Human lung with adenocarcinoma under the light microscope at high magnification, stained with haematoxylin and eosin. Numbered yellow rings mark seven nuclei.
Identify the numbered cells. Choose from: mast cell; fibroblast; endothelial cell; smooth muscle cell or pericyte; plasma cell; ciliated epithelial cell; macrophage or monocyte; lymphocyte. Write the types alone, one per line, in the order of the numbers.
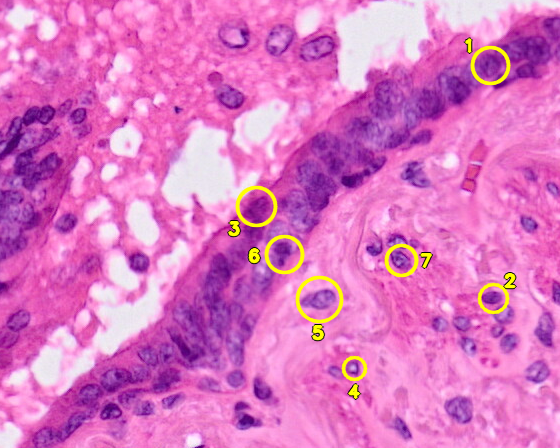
ciliated epithelial cell
smooth muscle cell or pericyte
ciliated epithelial cell
smooth muscle cell or pericyte
fibroblast
ciliated epithelial cell
smooth muscle cell or pericyte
